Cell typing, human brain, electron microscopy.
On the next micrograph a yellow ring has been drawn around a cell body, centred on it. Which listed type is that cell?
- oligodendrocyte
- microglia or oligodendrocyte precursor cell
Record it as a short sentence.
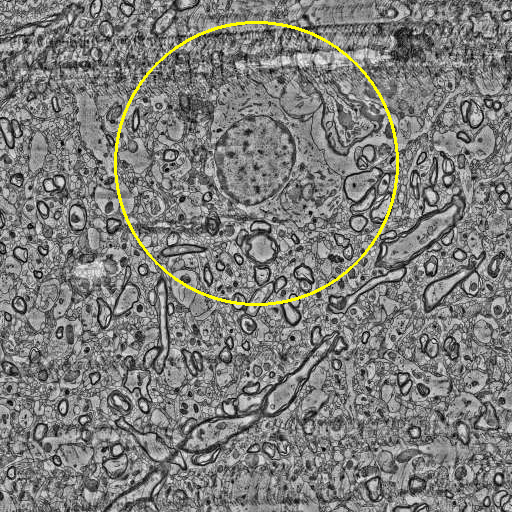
The cell body in the ring's centre belongs to a microglial cell or oligodendrocyte precursor cell.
